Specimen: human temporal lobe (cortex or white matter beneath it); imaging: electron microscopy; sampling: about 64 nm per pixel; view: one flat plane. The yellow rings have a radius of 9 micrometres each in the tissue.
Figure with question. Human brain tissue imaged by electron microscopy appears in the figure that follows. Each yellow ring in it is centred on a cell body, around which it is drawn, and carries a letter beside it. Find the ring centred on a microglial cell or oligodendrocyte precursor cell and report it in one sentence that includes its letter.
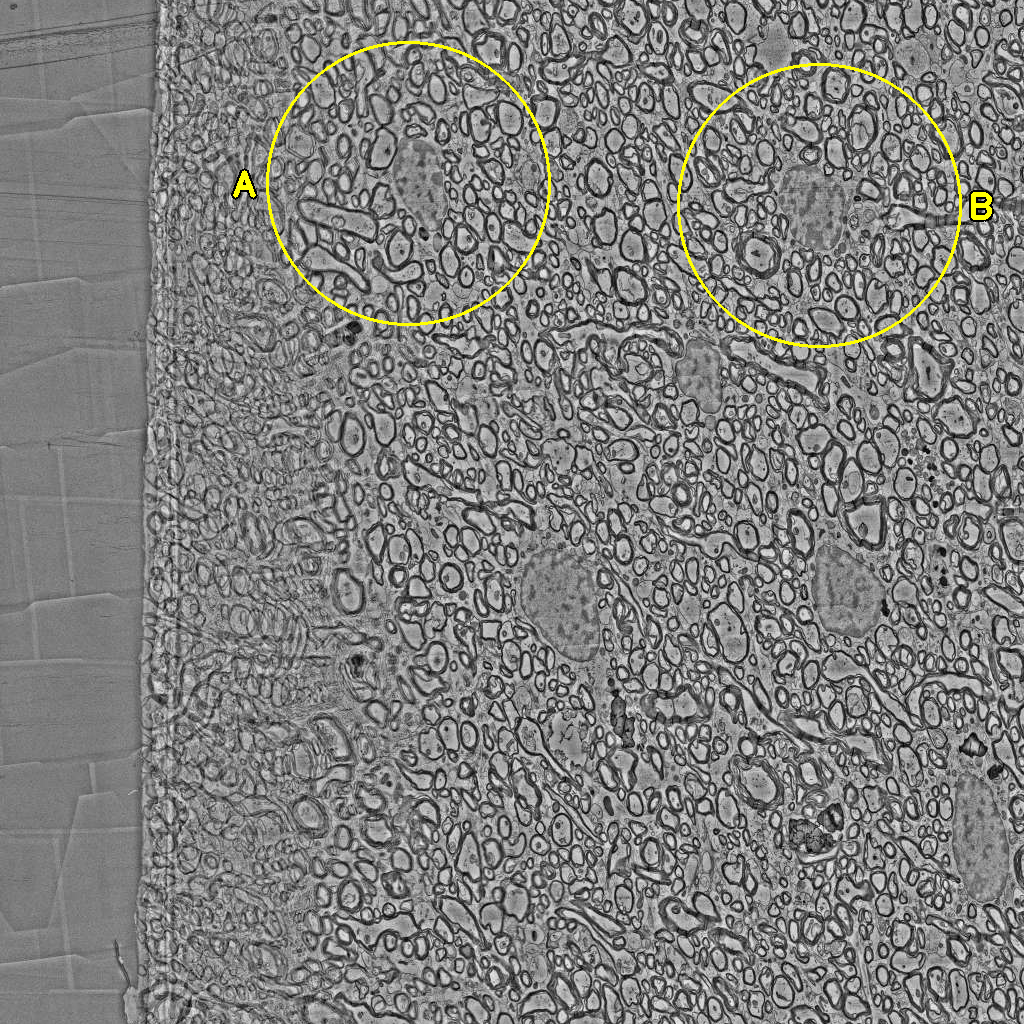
Ring A is the one centred on it.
